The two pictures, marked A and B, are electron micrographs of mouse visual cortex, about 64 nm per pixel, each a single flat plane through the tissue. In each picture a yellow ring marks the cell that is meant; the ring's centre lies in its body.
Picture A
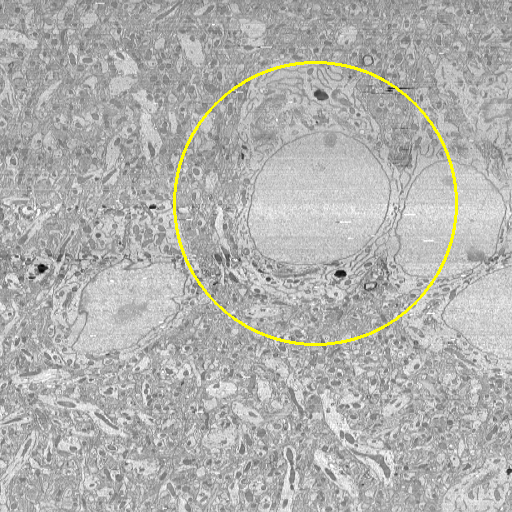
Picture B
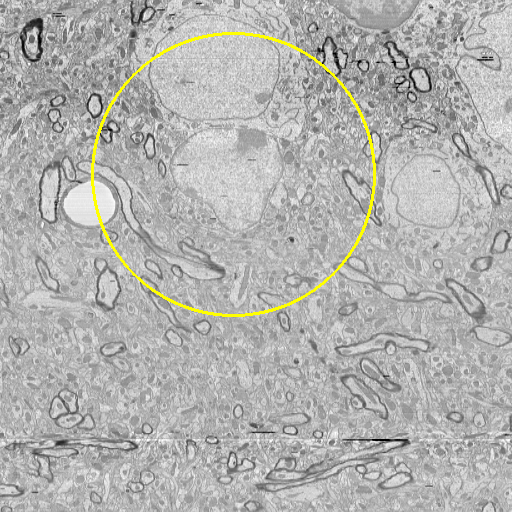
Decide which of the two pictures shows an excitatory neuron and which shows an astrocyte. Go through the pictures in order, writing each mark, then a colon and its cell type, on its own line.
A: excitatory neuron
B: astrocyte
